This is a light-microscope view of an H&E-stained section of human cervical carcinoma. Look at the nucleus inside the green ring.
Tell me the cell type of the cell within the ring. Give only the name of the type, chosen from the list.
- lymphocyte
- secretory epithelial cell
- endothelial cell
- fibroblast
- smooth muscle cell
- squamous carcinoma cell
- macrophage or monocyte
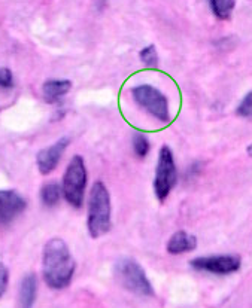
fibroblast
